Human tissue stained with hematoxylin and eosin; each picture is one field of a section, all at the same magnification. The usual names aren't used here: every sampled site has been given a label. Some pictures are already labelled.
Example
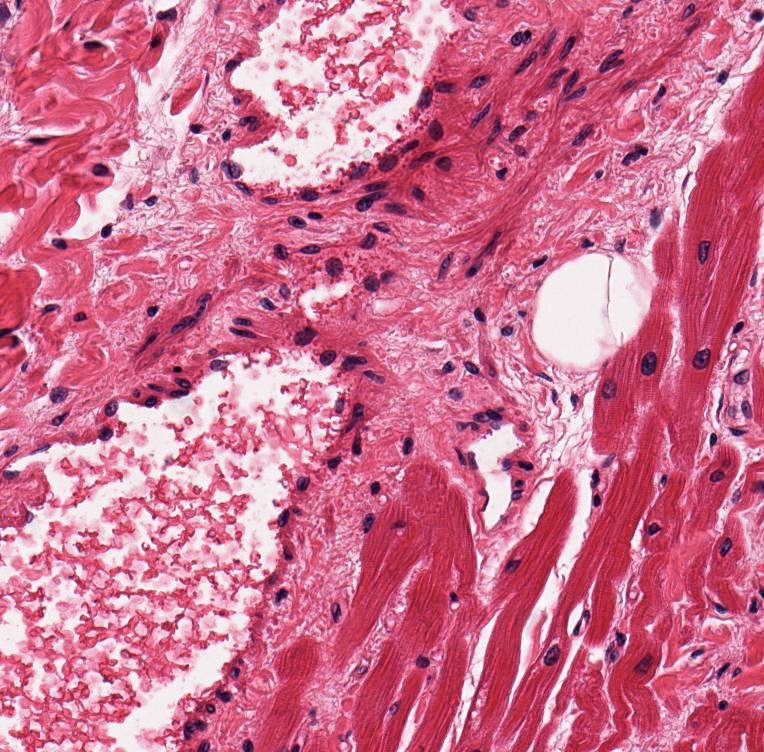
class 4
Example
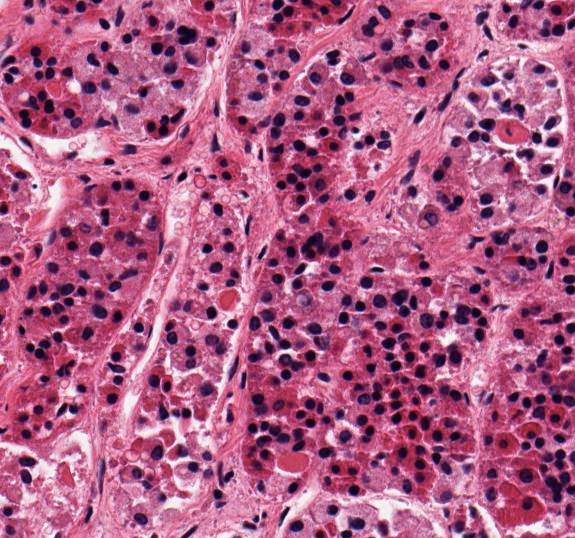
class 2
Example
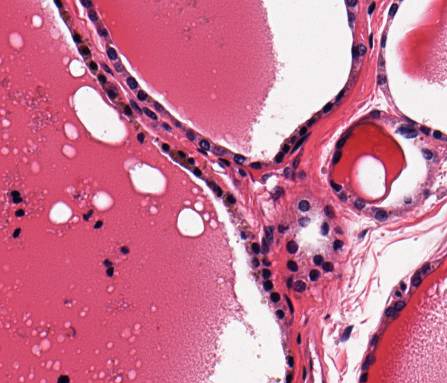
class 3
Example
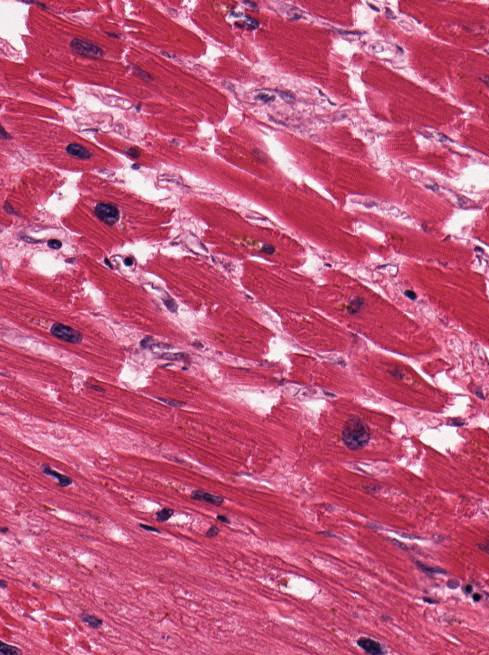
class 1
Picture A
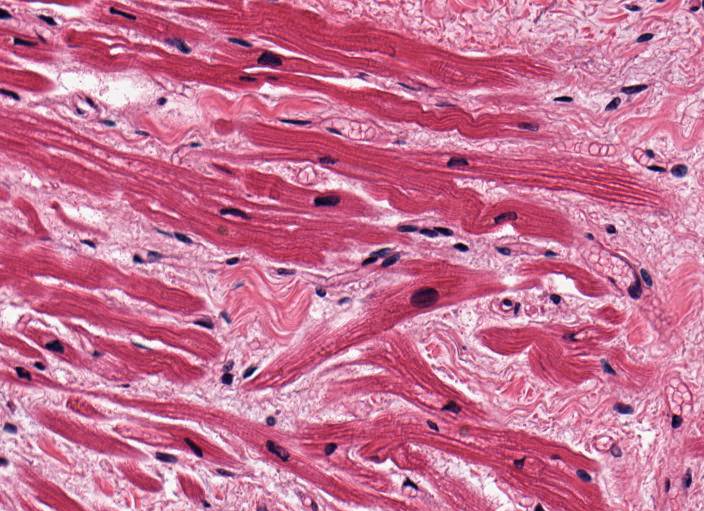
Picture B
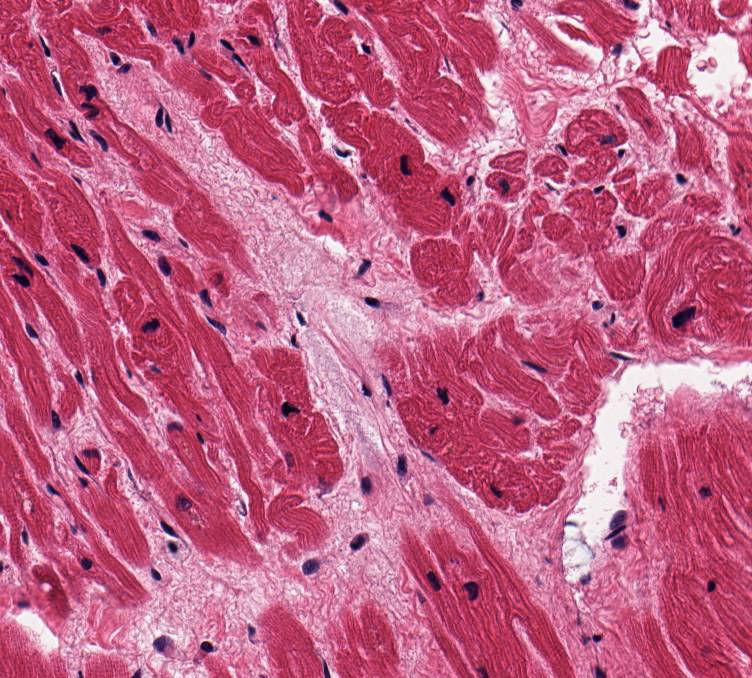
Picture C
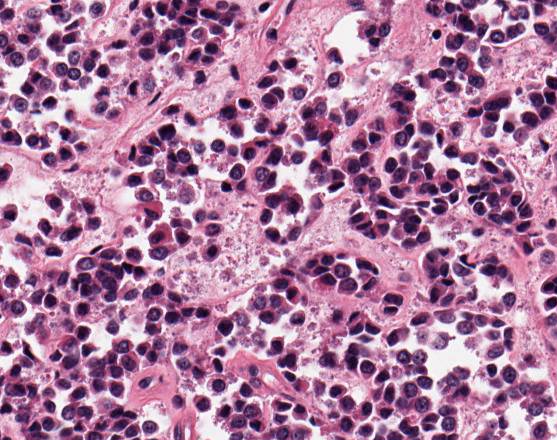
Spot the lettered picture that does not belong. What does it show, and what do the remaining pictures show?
Picture C: class 2. All others: class 4.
